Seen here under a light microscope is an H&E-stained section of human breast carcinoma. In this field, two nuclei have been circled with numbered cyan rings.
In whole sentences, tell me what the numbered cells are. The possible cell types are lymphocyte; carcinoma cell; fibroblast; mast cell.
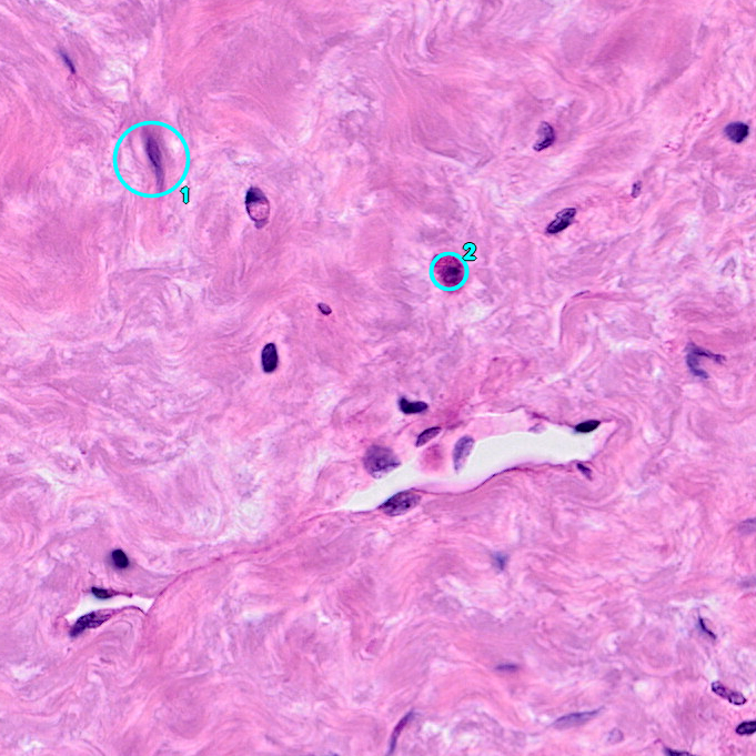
Cell 1 is a fibroblast and cell 2 is a mast cell.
